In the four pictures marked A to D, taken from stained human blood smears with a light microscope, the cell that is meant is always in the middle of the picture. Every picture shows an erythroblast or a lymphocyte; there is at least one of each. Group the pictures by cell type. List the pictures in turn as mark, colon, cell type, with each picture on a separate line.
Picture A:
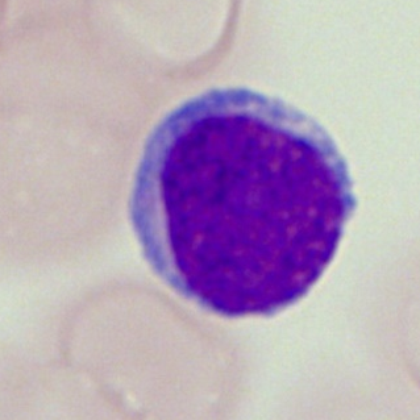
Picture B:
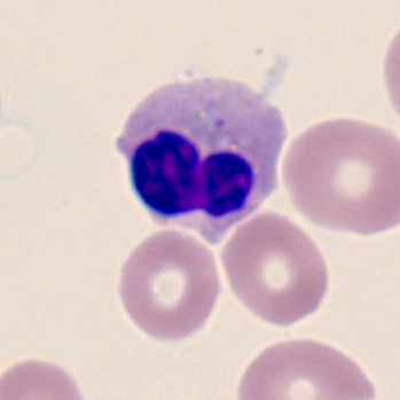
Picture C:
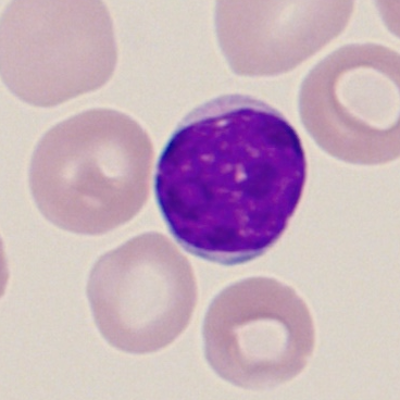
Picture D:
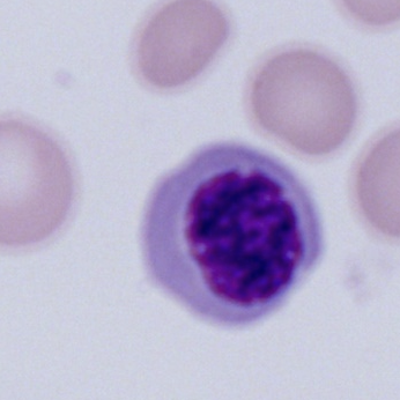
A: lymphocyte
B: erythroblast
C: lymphocyte
D: erythroblast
